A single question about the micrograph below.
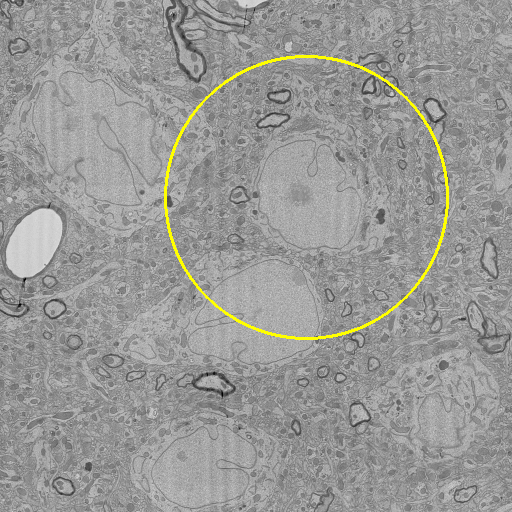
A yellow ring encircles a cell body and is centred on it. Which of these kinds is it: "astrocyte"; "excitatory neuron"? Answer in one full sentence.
The cell body at the centre of the yellow ring belongs to an excitatory neuron.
